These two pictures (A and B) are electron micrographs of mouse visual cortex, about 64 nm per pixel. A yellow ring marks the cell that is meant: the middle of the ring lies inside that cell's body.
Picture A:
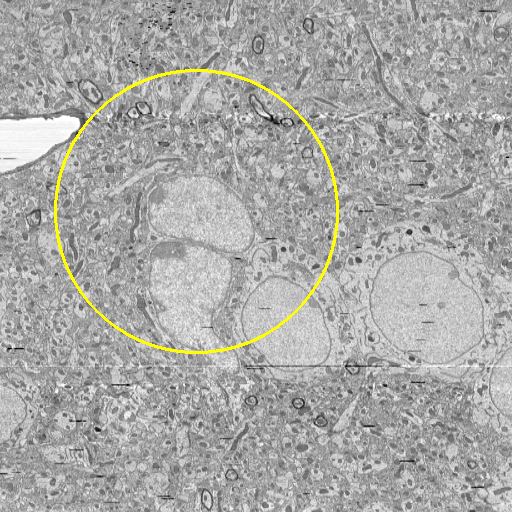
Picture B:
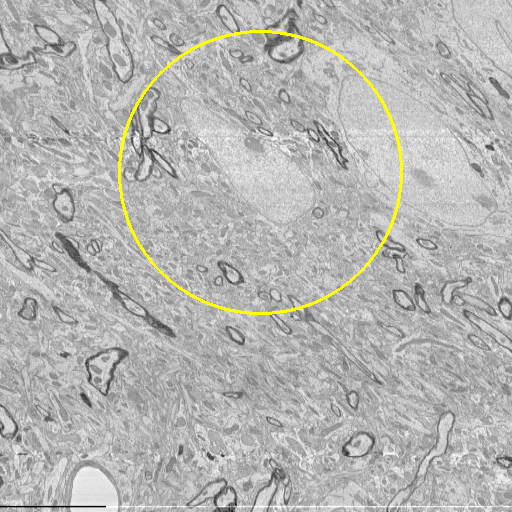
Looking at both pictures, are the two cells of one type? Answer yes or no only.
yes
